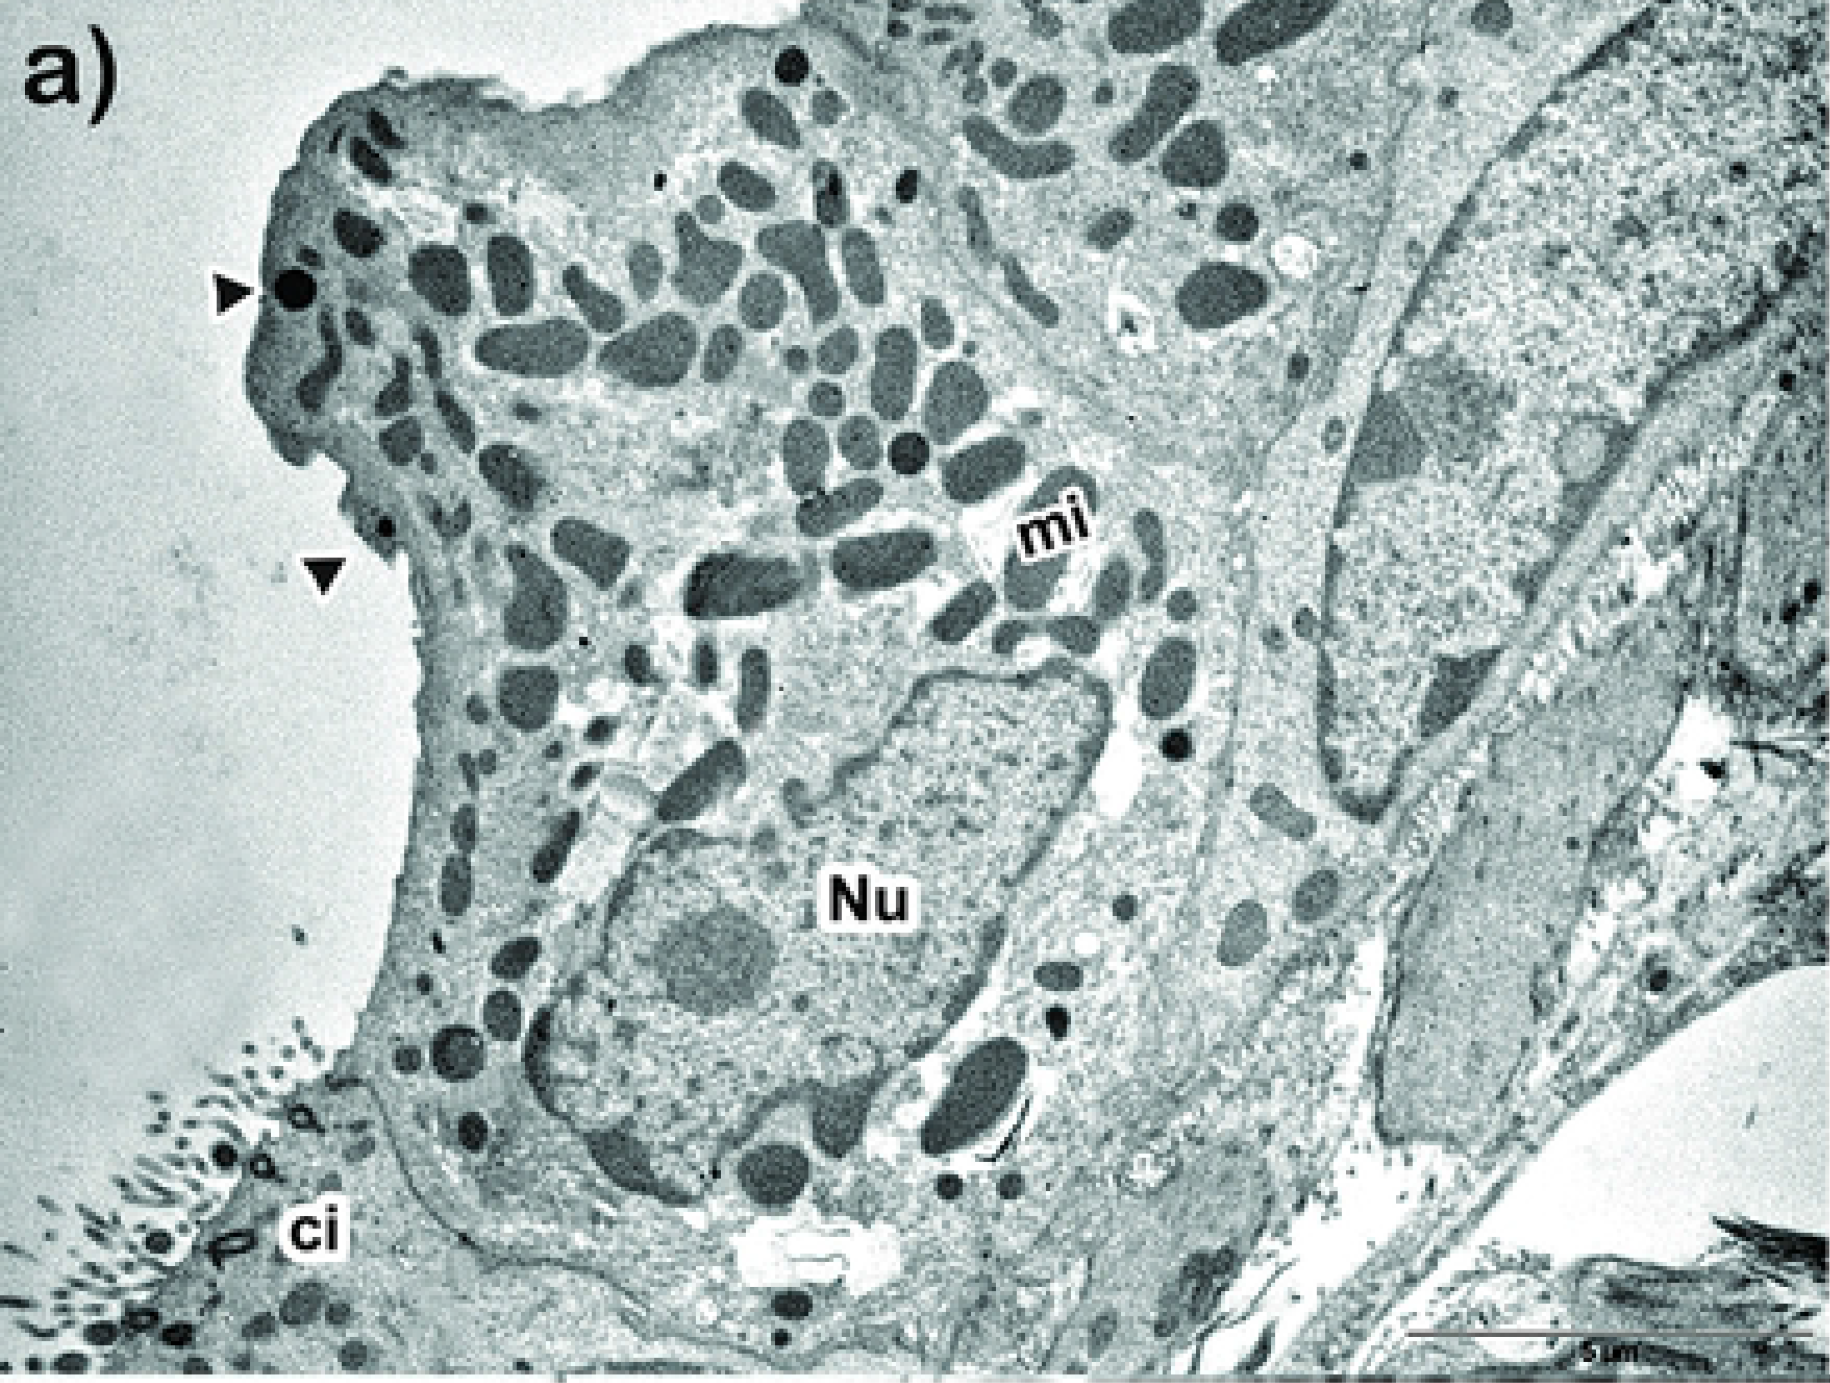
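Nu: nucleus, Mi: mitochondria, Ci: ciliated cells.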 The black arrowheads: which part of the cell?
Electron dense granules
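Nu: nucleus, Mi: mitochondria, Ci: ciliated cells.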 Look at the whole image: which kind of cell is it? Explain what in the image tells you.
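A non-ciliated cell bulges dome-like into the lumen beside ciliated neighbours. Its apical cytoplasm is packed with many mitochondria and small dark round granules. So: Club cell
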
